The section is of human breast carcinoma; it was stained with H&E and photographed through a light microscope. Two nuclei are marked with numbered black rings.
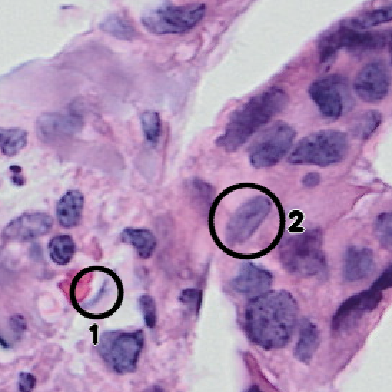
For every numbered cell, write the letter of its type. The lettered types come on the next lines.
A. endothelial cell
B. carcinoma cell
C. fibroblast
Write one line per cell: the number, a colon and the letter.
1: A
2: B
